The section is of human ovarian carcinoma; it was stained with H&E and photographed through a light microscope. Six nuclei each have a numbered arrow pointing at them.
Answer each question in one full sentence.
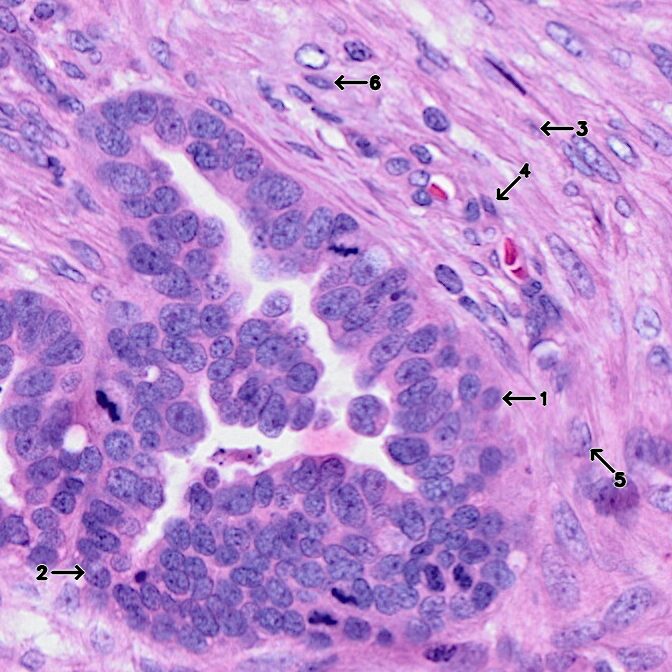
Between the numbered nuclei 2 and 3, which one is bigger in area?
Nucleus 2 covers more area, about 2.5 times as much as nucleus 3.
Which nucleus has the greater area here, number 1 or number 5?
At about 2 times the area of nucleus 1, nucleus 5 is the larger of the two.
